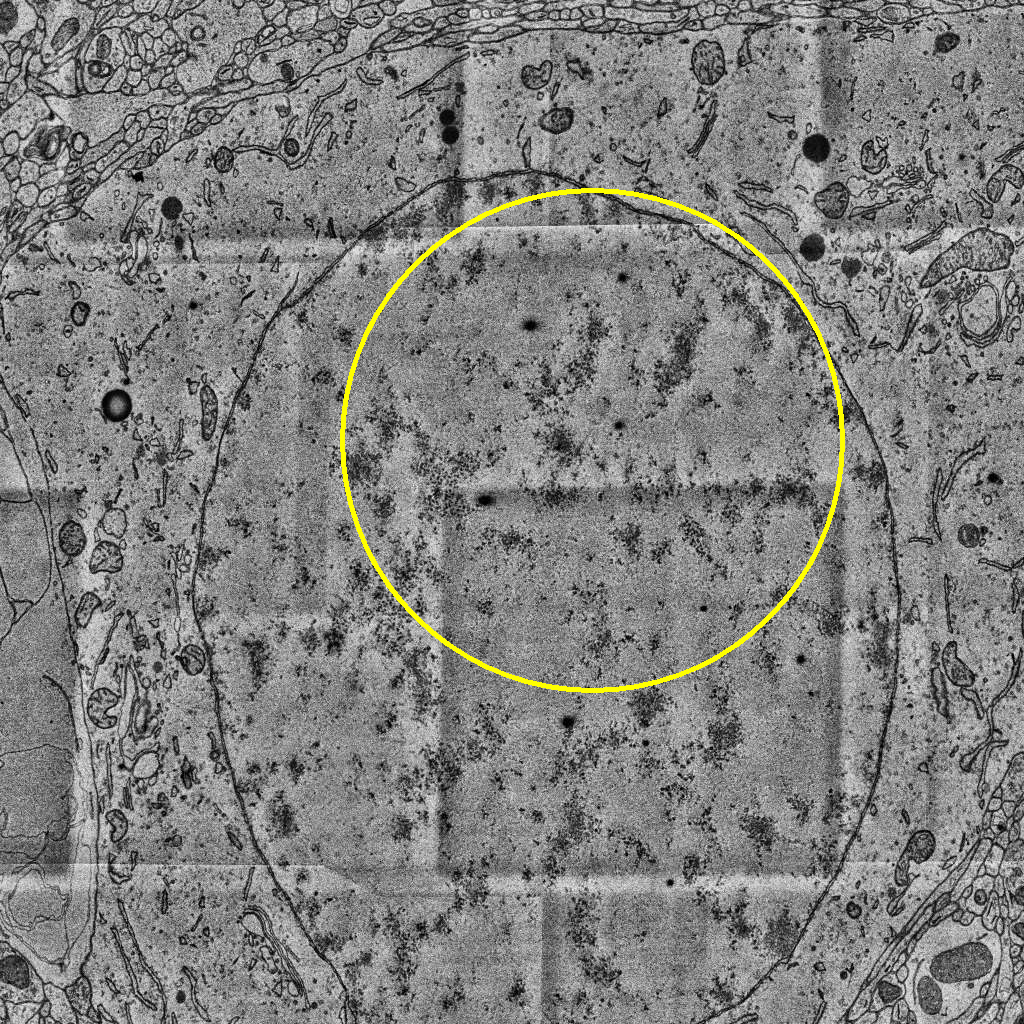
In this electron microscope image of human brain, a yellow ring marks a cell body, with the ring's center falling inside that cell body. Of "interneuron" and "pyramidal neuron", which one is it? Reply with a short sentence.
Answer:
It is a pyramidal neuron at the center of the ring.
